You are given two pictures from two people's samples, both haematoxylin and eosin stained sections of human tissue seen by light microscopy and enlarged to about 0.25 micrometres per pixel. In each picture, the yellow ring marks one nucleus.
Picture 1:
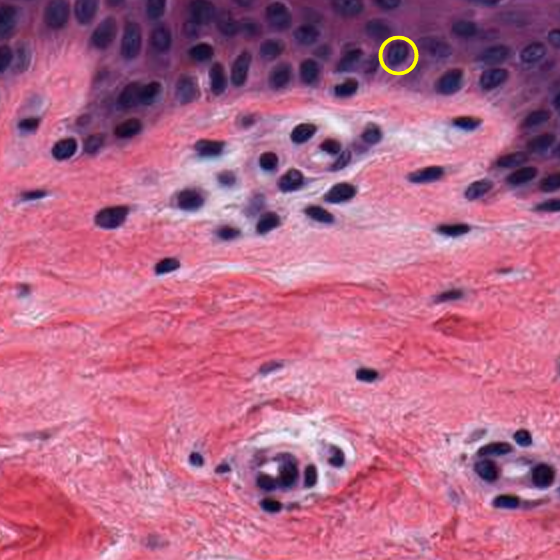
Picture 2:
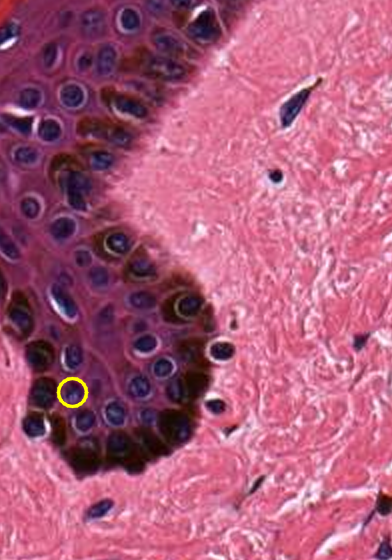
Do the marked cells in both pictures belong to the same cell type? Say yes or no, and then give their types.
Yes, both are keratinocytes.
